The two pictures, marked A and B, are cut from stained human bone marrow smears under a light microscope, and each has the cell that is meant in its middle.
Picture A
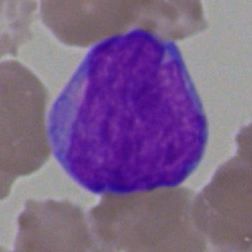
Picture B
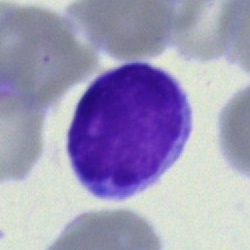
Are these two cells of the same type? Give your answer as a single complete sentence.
No, they differ: the cell is a blast in picture A and a lymphocyte in picture B.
